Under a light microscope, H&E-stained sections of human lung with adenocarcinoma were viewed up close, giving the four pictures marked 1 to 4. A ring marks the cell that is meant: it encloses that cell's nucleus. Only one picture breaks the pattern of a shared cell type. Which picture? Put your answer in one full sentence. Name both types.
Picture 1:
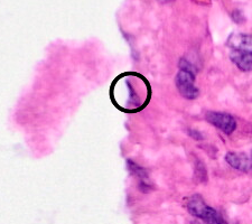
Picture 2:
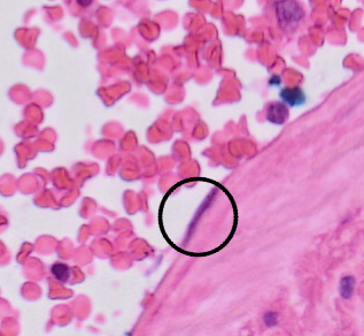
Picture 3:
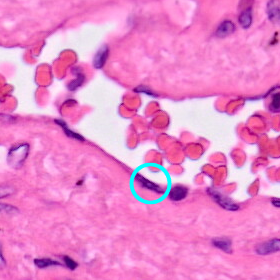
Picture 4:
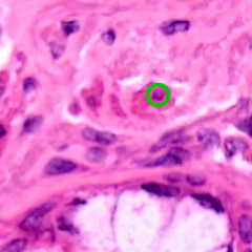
The different one is picture 4; it shows a “smooth muscle cell or pericyte”, whereas all the others show endothelial cells.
